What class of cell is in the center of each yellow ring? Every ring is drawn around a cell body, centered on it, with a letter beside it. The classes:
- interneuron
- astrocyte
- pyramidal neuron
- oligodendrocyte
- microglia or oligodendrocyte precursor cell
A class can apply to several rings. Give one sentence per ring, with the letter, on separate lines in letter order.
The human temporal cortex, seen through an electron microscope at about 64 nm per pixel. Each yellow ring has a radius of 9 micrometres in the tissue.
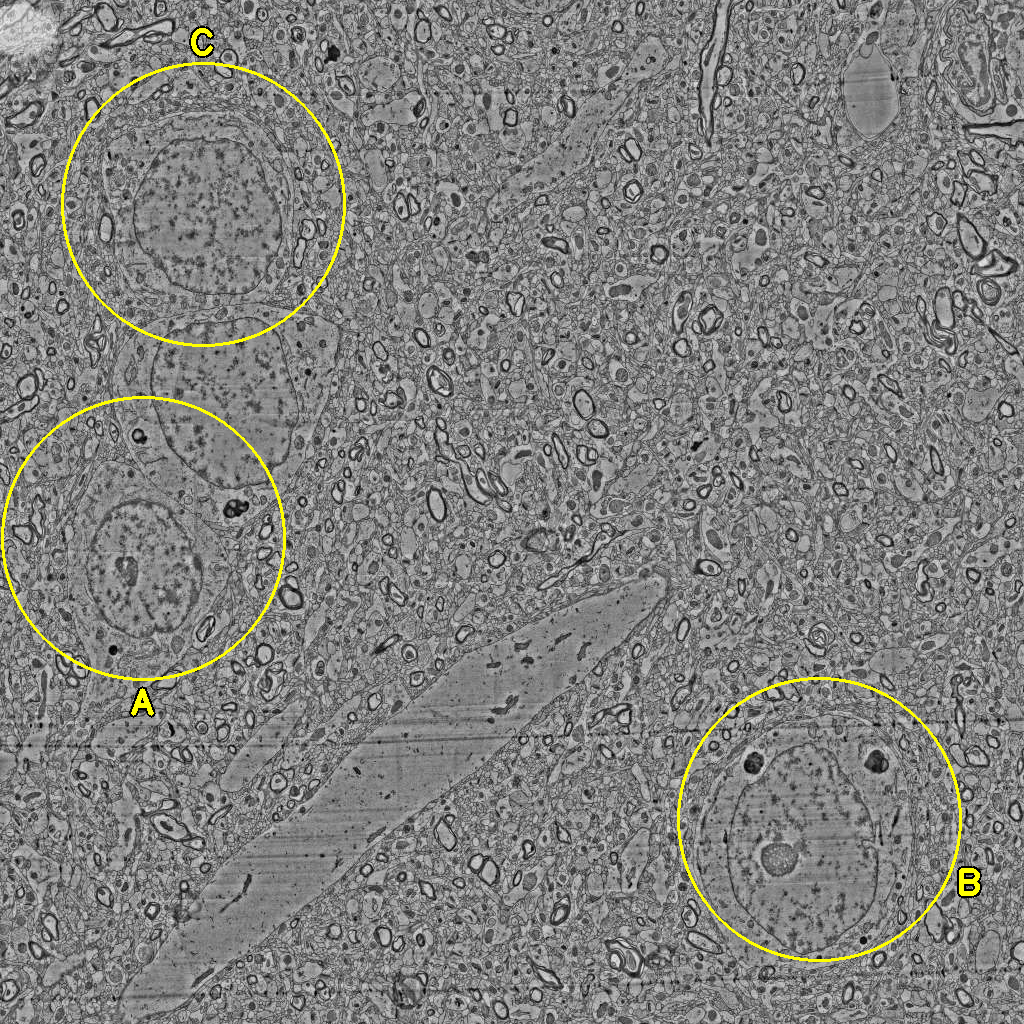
Ring A holds an interneuron at its center.
Ring B holds a pyramidal neuron at its center.
Ring C holds a pyramidal neuron at its center.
